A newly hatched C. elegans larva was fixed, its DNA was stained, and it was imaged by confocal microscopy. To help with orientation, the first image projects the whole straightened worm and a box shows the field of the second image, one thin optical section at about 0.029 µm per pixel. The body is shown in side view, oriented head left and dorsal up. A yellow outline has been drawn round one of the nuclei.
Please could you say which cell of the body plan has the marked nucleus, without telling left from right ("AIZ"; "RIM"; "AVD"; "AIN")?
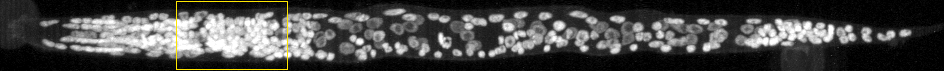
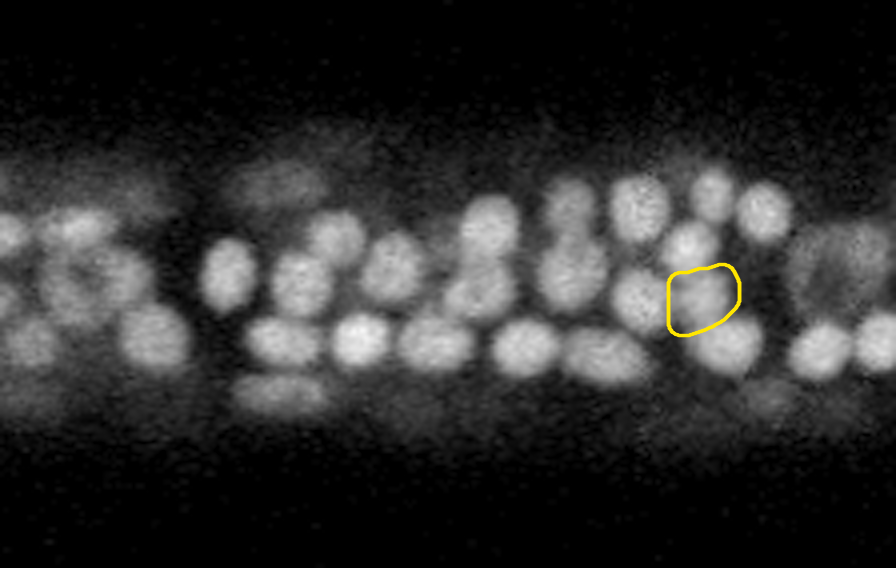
AIZ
